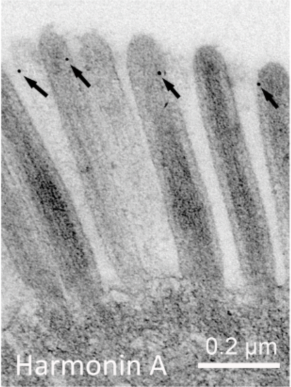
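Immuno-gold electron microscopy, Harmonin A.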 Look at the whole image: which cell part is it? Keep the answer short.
Microvilli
